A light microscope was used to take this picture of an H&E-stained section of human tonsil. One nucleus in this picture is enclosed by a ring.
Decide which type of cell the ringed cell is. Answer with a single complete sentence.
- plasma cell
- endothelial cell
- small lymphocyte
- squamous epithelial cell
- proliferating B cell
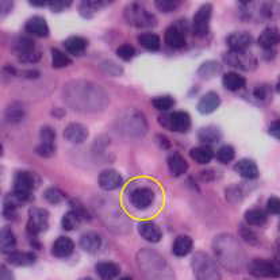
This is an endothelial cell.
